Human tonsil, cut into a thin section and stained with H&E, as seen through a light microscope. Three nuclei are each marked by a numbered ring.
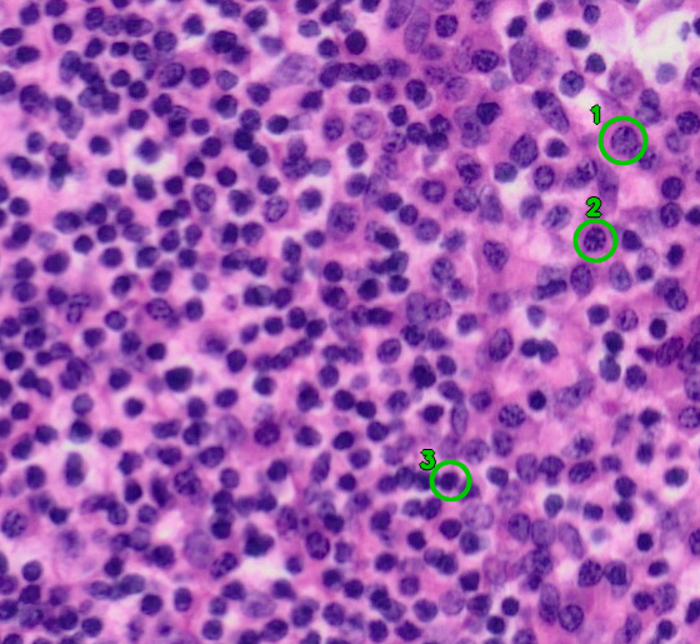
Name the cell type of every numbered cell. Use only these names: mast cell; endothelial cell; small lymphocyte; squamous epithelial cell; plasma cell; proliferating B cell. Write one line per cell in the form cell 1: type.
cell 1: plasma cell
cell 2: plasma cell
cell 3: small lymphocyte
